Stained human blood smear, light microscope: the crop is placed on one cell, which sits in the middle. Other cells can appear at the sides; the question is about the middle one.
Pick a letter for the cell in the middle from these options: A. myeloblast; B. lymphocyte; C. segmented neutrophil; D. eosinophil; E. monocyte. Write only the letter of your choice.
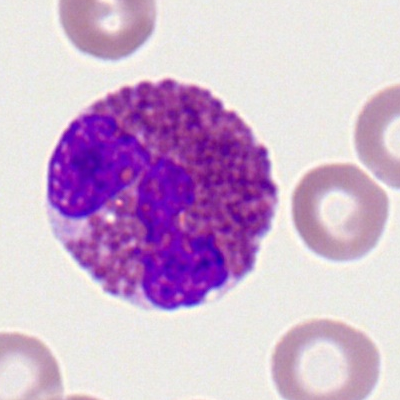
D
